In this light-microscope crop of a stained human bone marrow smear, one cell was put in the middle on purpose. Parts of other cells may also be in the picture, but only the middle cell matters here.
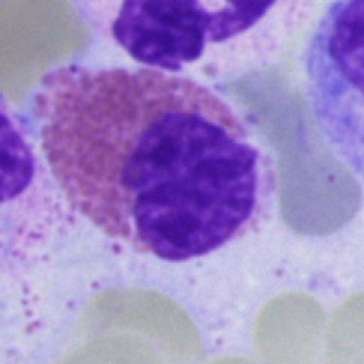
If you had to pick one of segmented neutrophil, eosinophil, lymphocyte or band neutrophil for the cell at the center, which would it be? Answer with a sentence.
By type, the central cell of the crop is an eosinophil.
